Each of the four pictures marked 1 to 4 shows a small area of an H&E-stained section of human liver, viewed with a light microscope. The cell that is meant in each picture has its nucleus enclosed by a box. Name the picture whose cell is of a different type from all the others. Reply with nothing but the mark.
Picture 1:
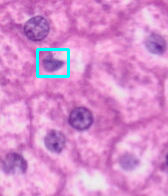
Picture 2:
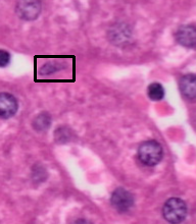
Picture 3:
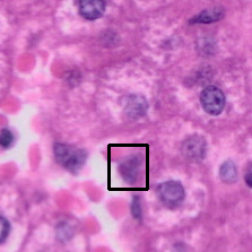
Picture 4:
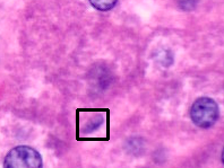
2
